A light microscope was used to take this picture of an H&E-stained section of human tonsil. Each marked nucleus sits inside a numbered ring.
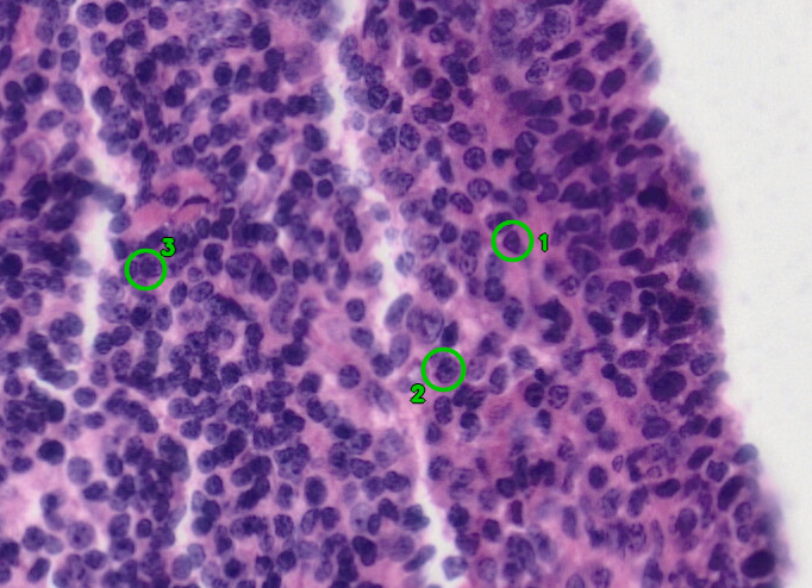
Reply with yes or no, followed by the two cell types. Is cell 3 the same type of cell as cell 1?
No, cell 1 is a plasma cell, but cell 3 is a small lymphocyte.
